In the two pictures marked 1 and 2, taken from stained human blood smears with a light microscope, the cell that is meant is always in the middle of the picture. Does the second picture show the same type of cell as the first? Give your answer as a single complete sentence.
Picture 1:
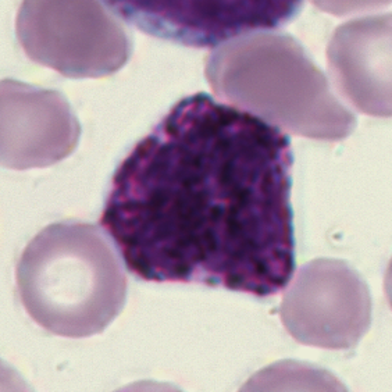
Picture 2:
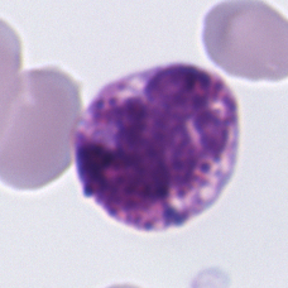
Yes; the cells in both pictures are basophils.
